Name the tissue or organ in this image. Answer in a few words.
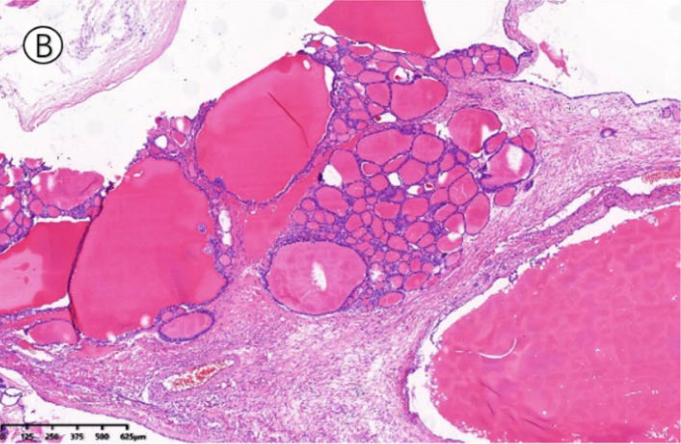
Thyroid tissue.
